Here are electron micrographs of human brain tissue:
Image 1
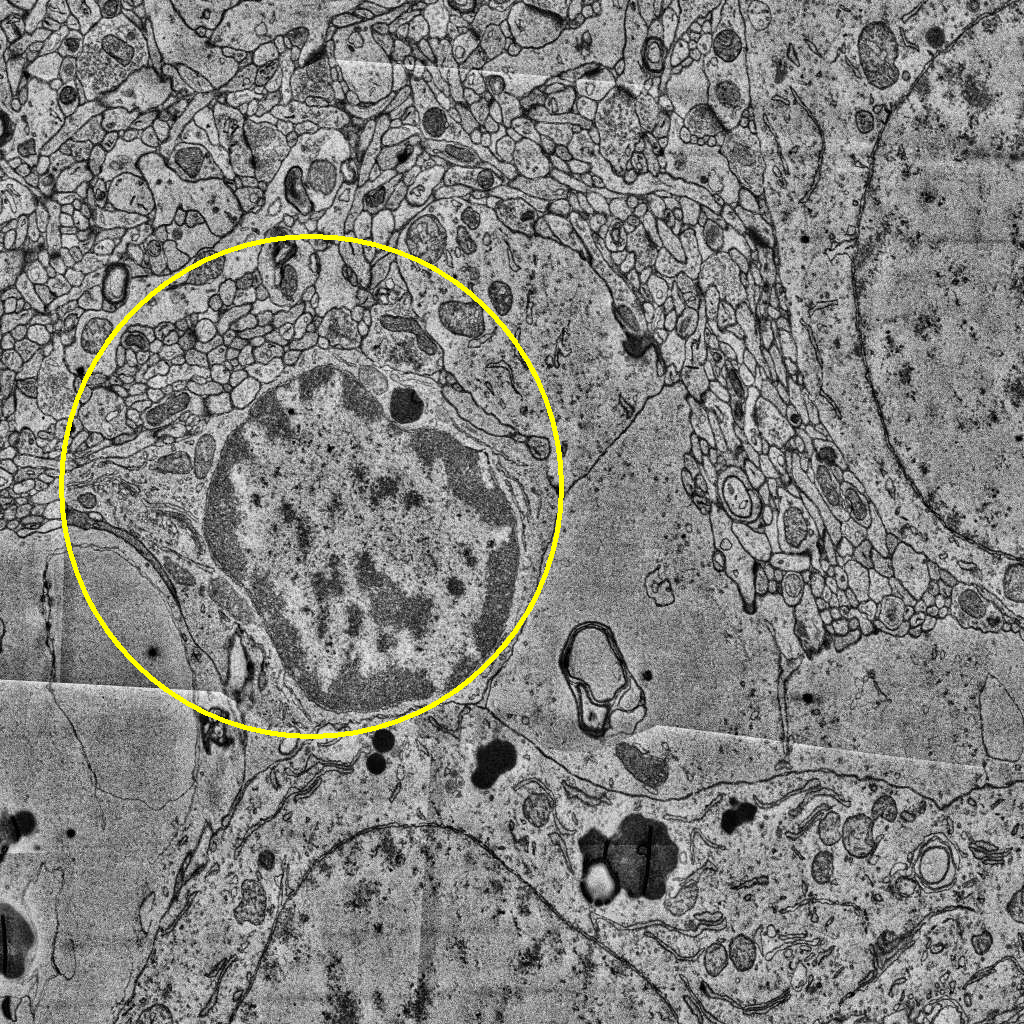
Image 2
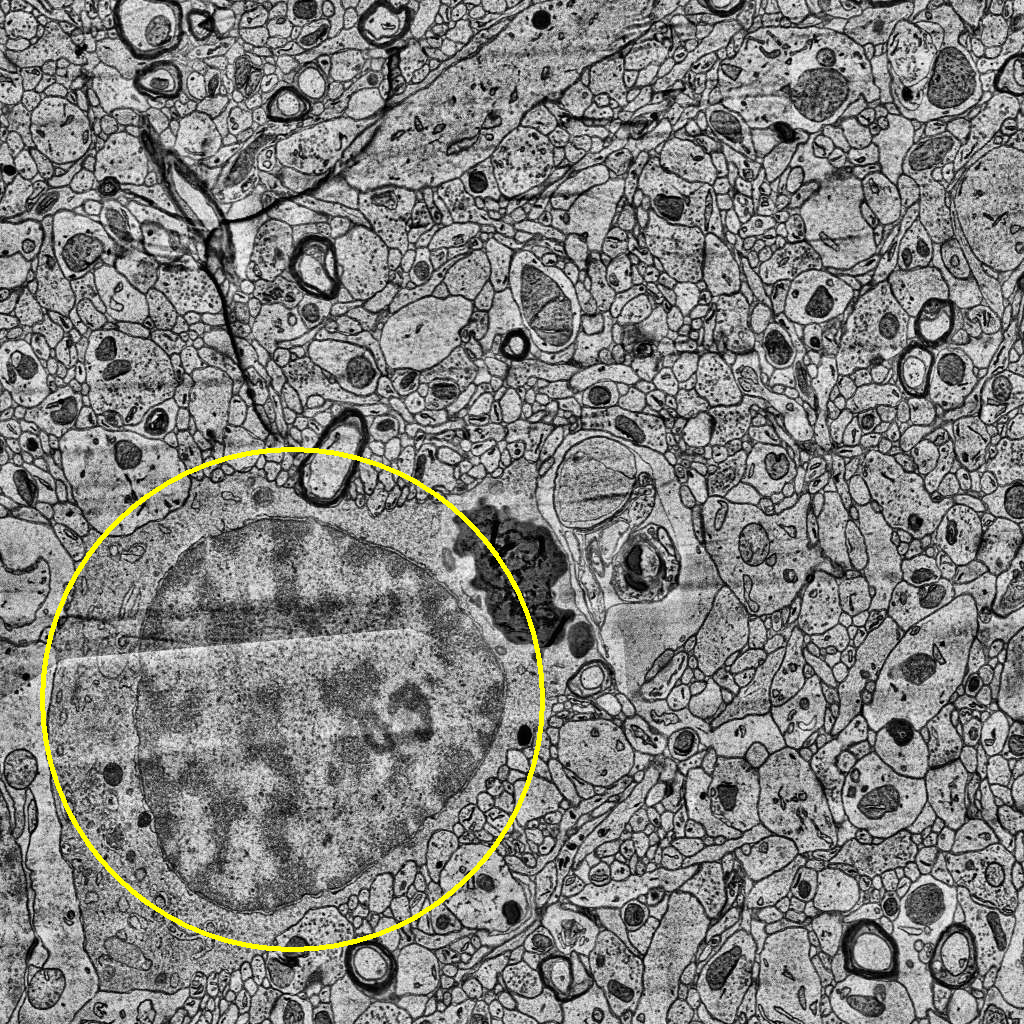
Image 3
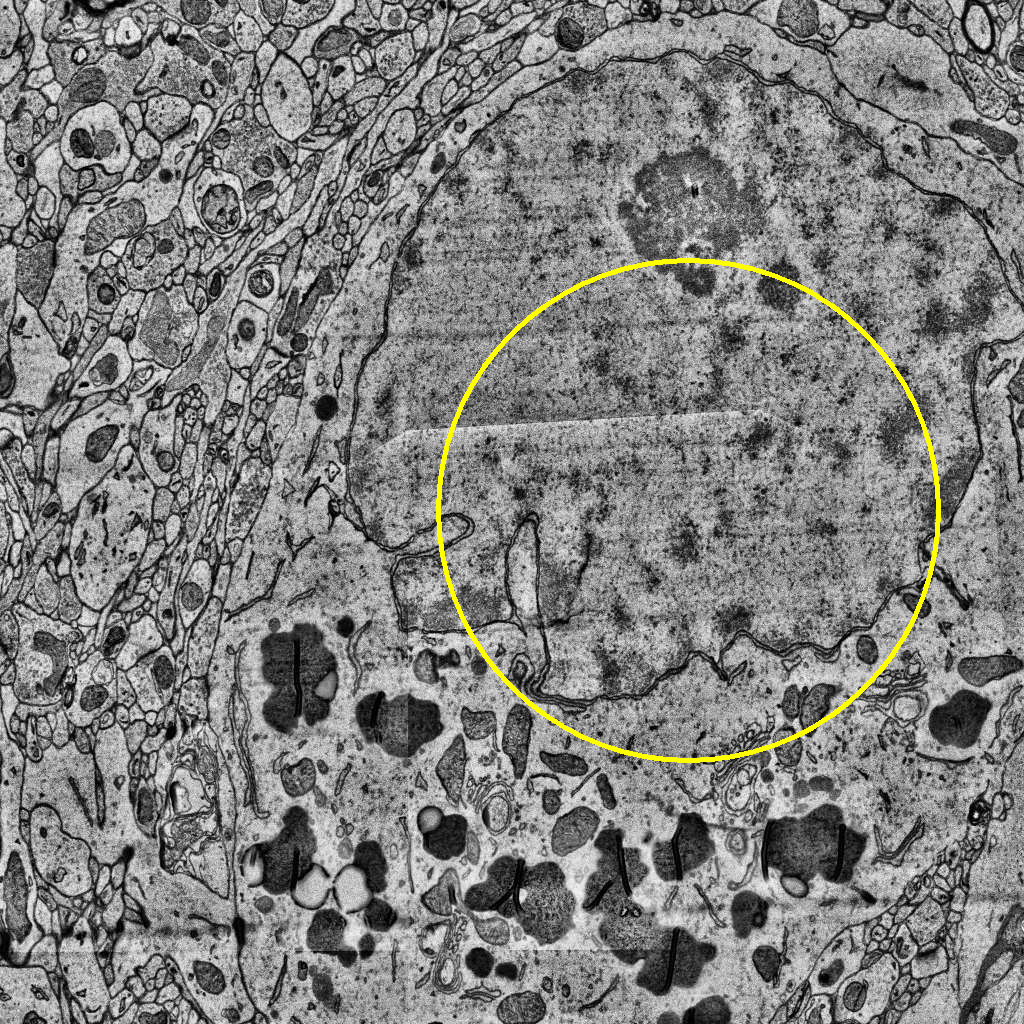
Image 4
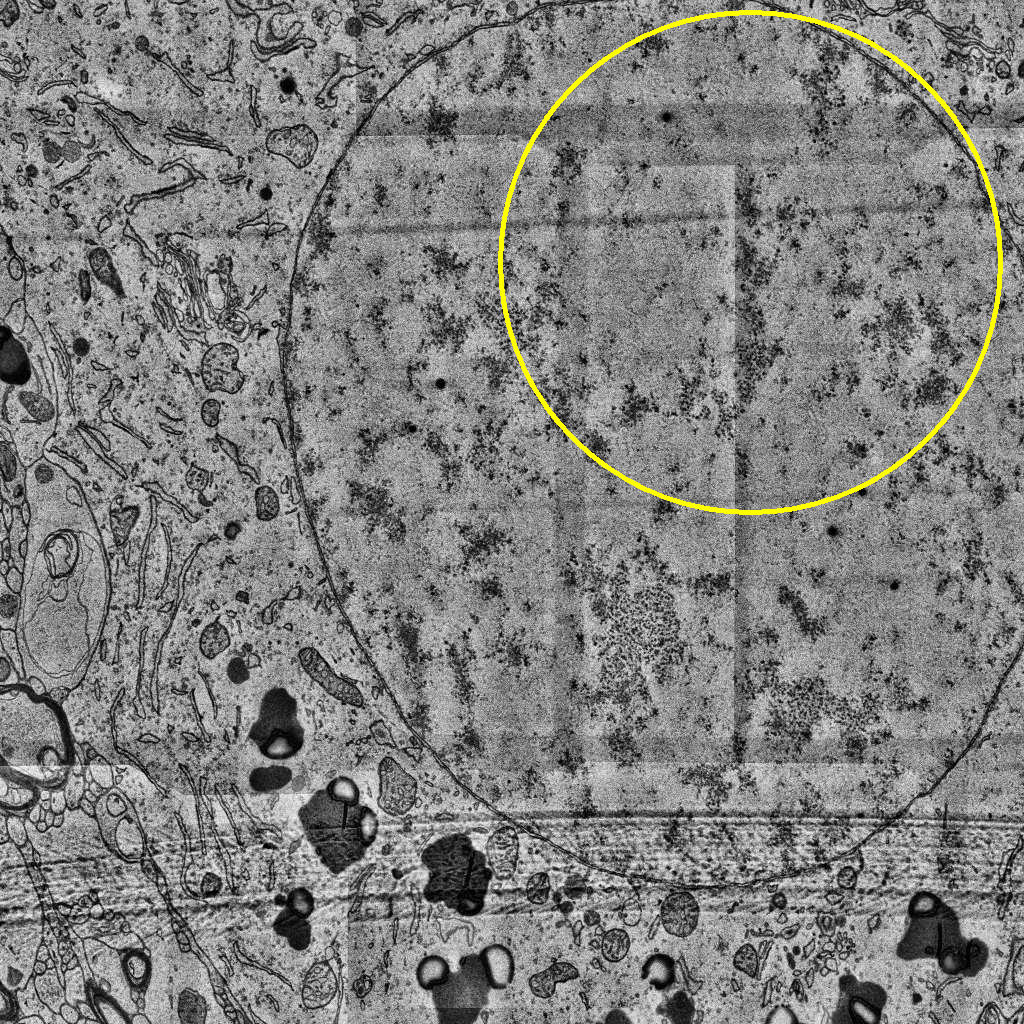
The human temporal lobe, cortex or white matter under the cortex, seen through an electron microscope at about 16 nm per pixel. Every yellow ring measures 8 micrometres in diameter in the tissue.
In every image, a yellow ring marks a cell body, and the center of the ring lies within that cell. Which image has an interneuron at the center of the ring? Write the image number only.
3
